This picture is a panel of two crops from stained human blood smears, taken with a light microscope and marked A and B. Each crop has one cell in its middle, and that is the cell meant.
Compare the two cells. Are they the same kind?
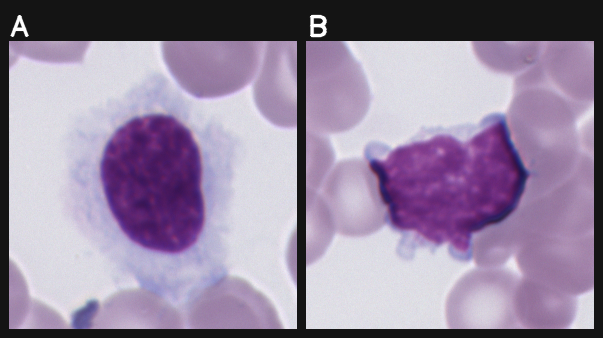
no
